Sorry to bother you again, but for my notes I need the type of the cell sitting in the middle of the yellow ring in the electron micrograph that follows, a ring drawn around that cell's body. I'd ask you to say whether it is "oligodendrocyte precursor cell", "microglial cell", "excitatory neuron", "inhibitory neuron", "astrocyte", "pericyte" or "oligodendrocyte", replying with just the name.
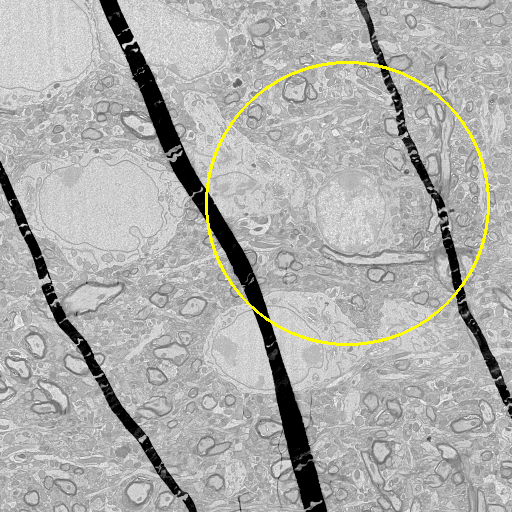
oligodendrocyte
